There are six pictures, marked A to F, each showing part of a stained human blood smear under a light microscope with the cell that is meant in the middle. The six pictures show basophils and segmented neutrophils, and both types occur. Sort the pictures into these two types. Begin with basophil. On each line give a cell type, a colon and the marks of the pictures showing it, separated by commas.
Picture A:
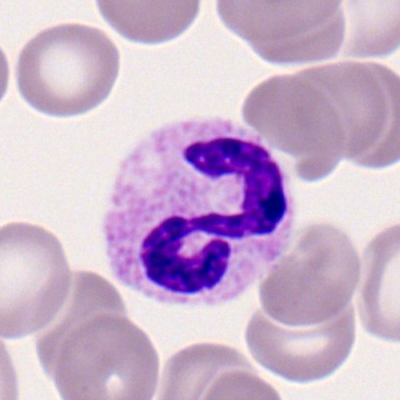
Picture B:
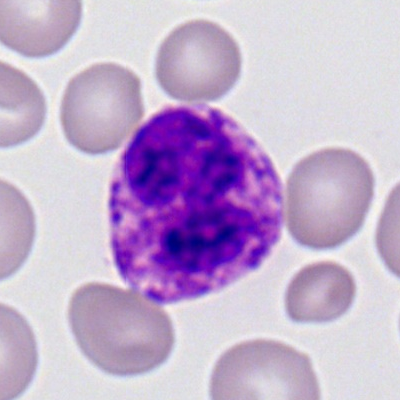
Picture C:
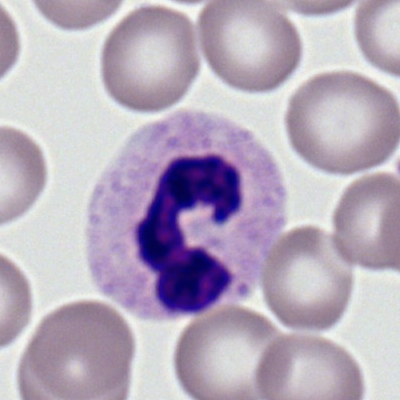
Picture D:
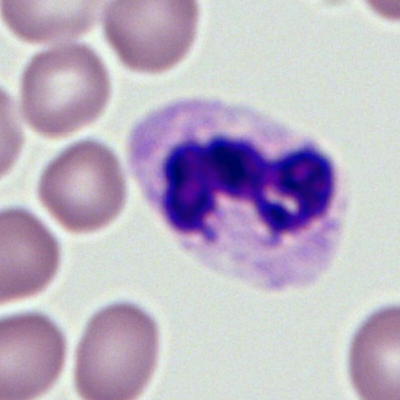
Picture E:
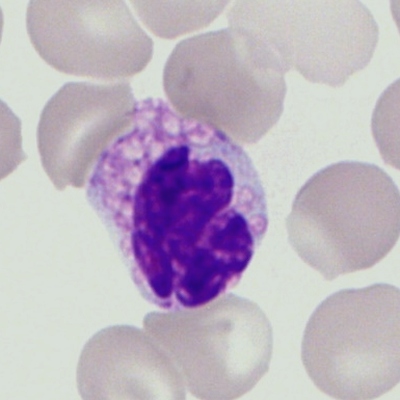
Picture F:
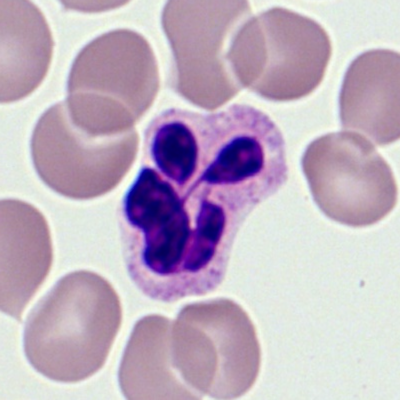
basophil: B, E
segmented neutrophil: A, C, D, F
